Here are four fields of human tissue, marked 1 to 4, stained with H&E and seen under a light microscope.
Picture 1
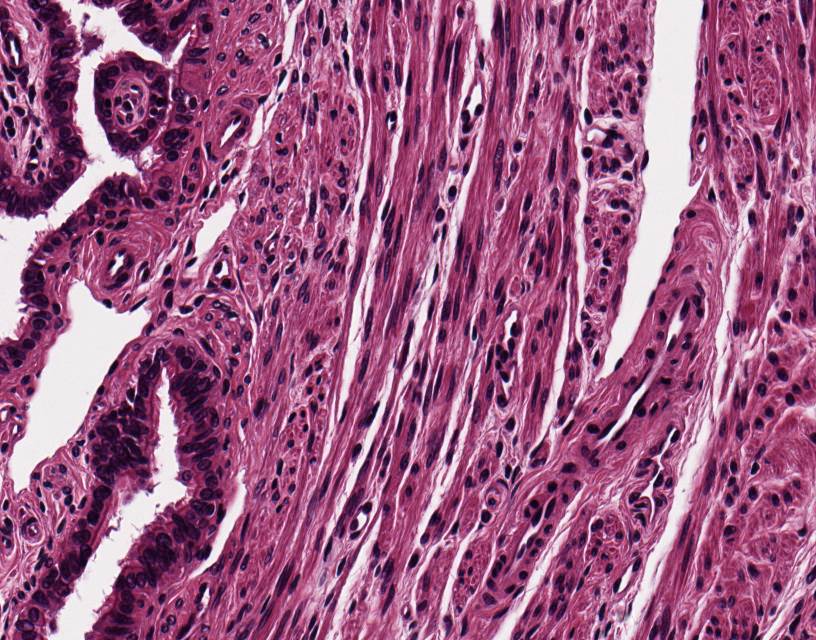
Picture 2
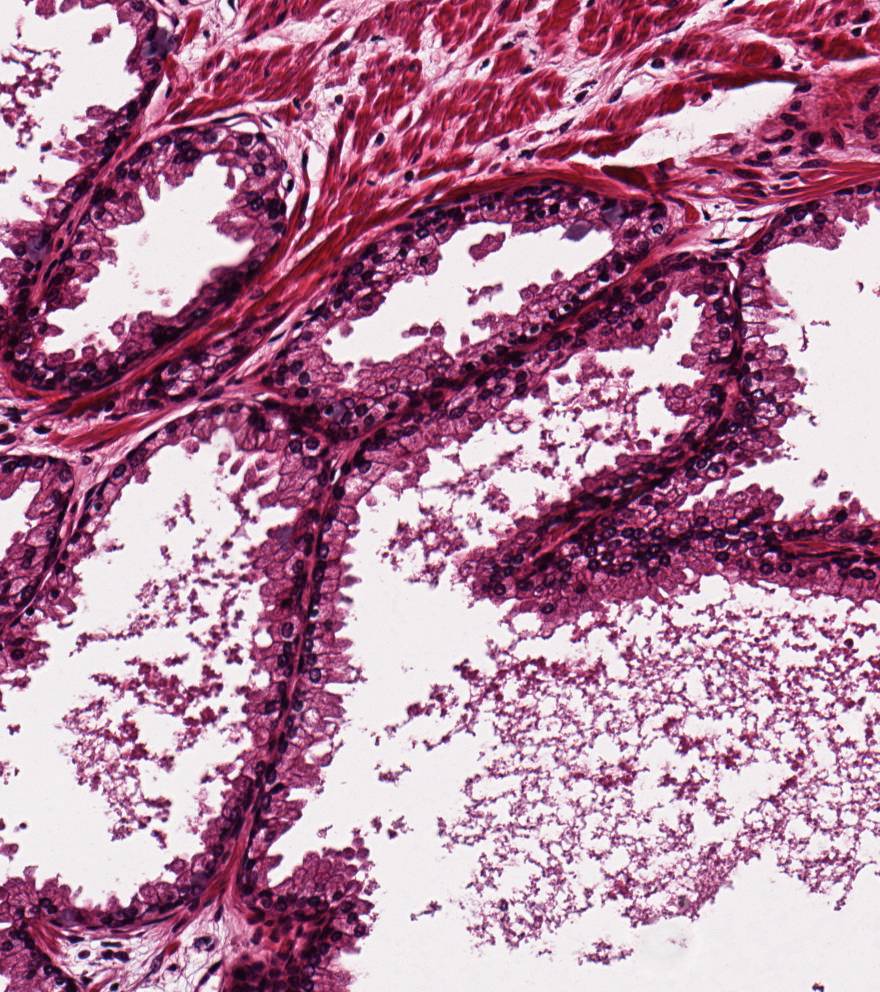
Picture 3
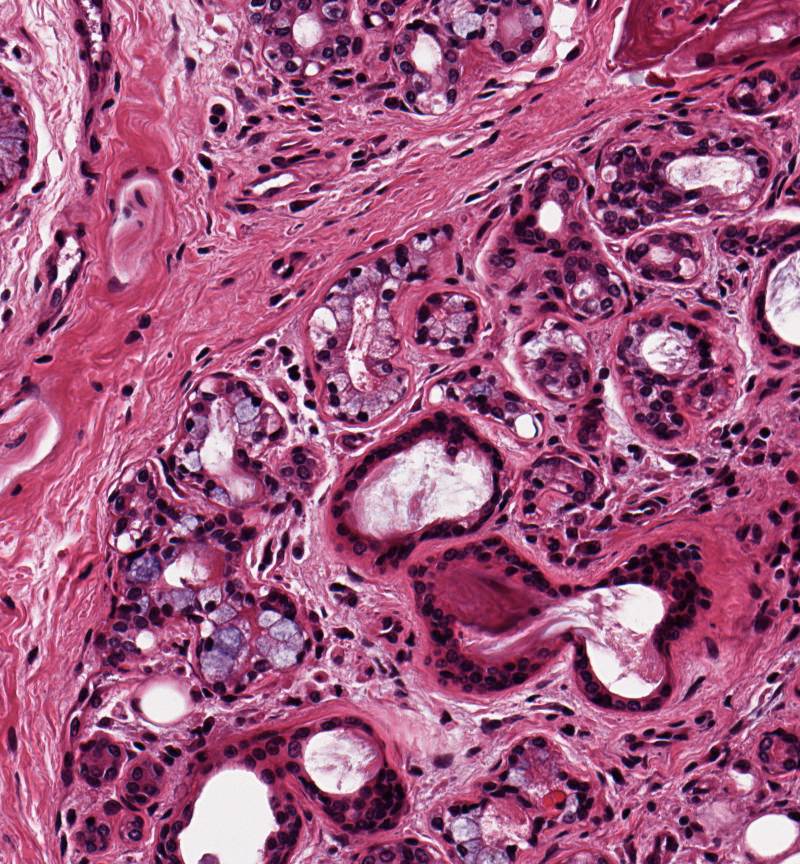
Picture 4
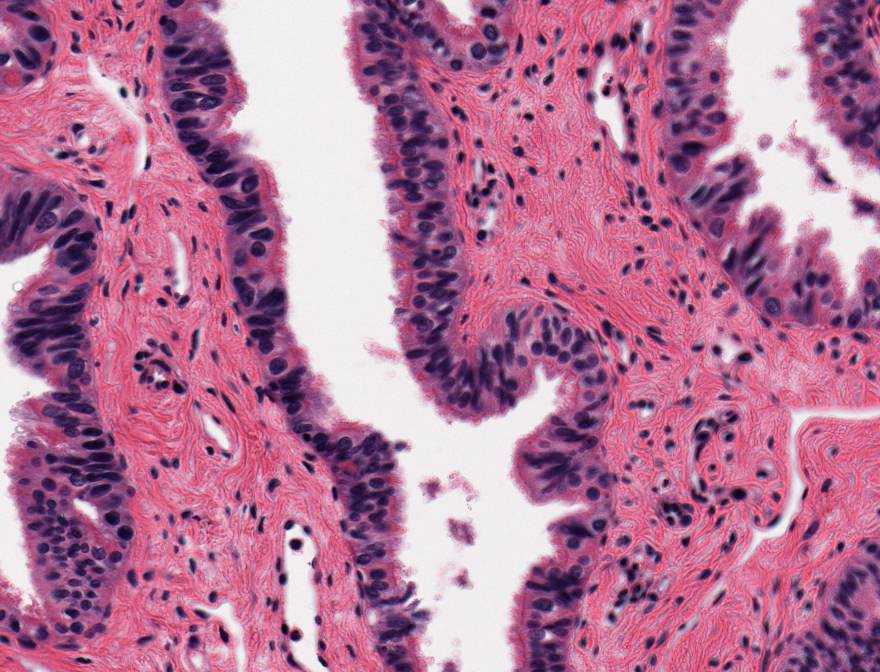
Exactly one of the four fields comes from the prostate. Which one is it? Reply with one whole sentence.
It is picture 2 that comes from the prostate.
